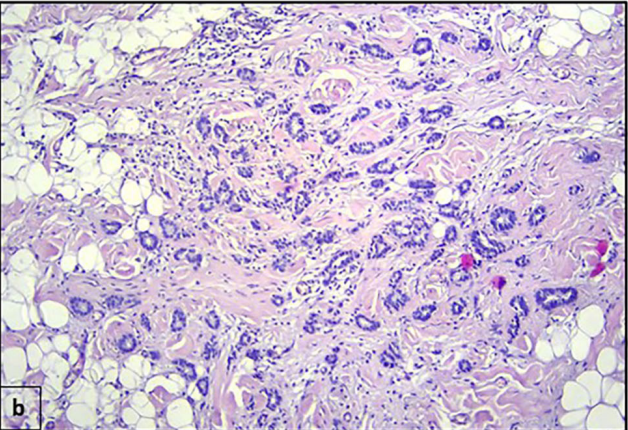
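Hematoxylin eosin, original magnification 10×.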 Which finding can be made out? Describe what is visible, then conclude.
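Invasive ductal carcinoma. Many small angulated tubules and nests of dark-nuclei cells scattered haphazardly. Tubules lie in a pink collagenous stroma. Tumour tubules reach in between fat cells at the edges.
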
